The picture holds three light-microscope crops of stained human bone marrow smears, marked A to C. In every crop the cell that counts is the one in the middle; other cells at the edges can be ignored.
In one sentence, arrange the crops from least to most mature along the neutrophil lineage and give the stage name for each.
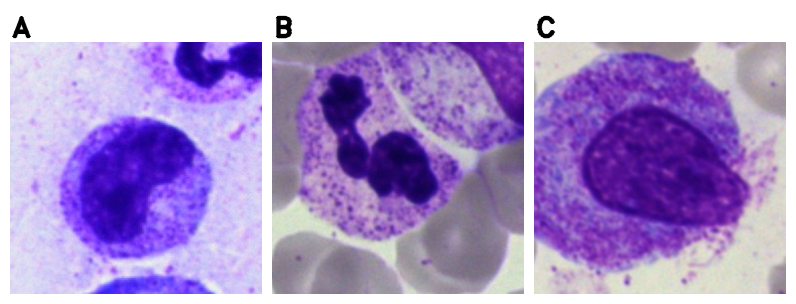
Ranking by maturity from lowest to highest gives crop C (a promyelocyte), crop A (a metamyelocyte) and crop B (a segmented neutrophil).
